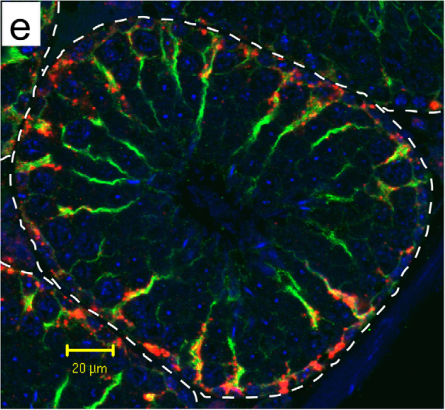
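A round cross-section of a seminiferous epithelium is seen, outlined by a dashed line, with slender green strands radiating from the outer edge toward the centre between rows of blue-stained nuclei. Red dots cluster along the outer edge and follow the green strands partway inward, where they overlap as yellow.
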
